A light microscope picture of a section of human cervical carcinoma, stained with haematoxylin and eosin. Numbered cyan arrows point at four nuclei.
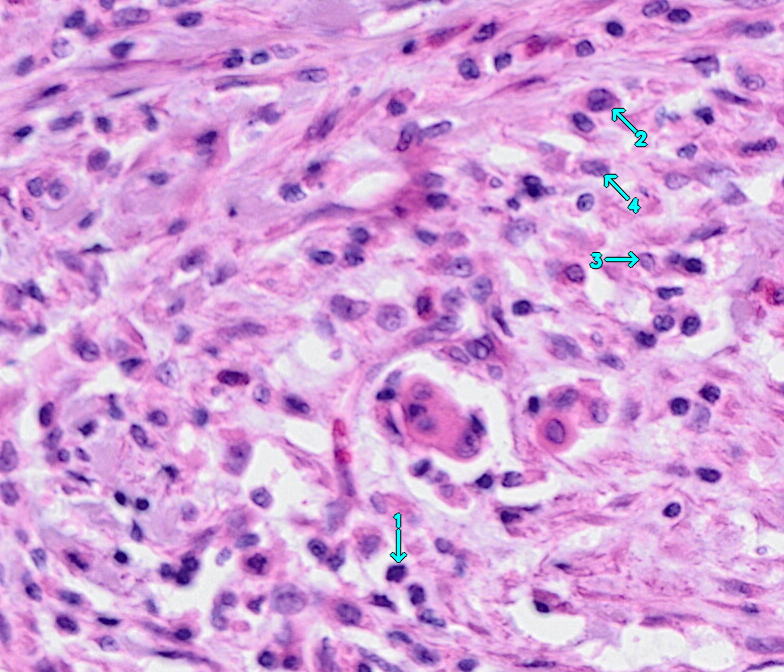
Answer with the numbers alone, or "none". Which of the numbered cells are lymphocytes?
1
